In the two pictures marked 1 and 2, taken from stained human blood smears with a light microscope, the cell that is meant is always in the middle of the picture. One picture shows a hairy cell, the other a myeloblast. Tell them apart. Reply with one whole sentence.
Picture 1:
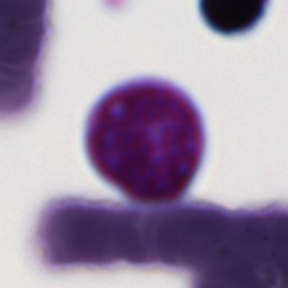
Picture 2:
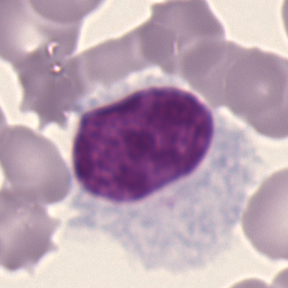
Picture 1 is of a myeloblast, and picture 2 is of a hairy cell.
